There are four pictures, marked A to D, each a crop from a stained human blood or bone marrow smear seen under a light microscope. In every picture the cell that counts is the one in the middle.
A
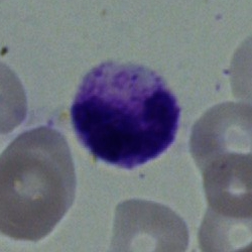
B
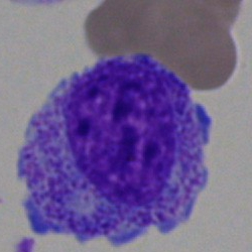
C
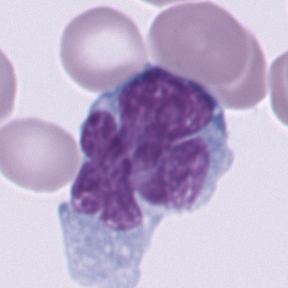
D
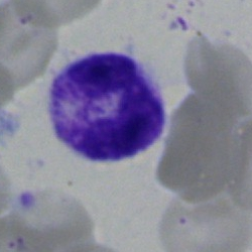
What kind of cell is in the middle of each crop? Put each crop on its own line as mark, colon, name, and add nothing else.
A: segmented neutrophil
B: myelocyte
C: monocyte
D: segmented neutrophil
